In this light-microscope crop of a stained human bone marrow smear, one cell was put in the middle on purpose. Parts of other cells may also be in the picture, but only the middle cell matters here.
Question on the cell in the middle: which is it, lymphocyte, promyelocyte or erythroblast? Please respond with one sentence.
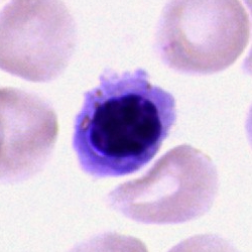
The central cell in this smear crop is an erythroblast.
